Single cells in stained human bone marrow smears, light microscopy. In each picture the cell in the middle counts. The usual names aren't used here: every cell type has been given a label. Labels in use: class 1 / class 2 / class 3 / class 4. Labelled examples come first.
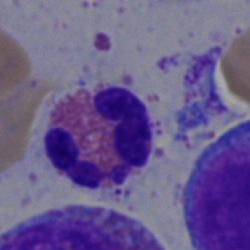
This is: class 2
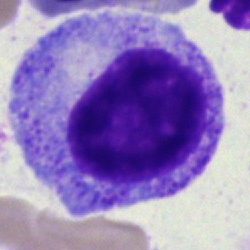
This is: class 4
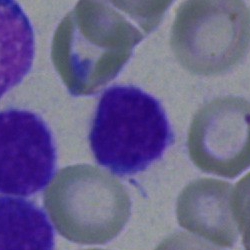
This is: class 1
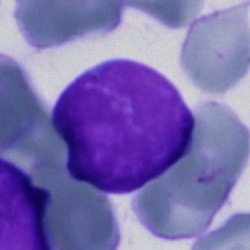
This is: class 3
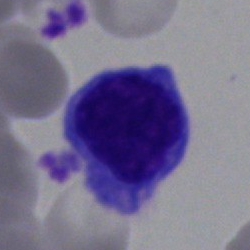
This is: class 1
